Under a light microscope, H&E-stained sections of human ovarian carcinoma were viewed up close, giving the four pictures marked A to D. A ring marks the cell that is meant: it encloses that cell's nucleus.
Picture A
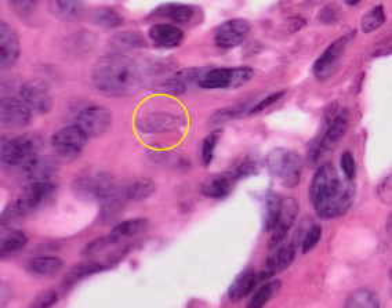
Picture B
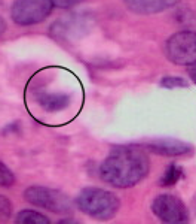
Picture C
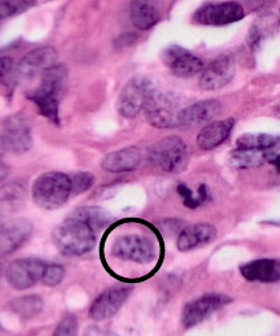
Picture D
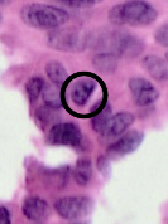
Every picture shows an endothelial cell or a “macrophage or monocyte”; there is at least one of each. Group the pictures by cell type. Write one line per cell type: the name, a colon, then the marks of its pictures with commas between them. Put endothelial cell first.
endothelial cell: A
macrophage or monocyte: B, C, D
